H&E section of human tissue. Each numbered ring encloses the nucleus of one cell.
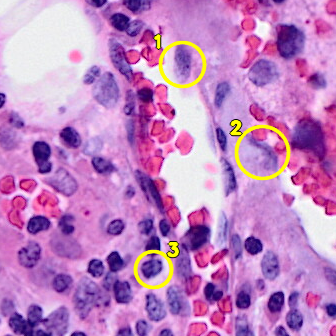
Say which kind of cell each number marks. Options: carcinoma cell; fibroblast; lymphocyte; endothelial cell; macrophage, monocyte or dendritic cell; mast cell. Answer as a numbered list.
1. endothelial cell
2. endothelial cell
3. lymphocyte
